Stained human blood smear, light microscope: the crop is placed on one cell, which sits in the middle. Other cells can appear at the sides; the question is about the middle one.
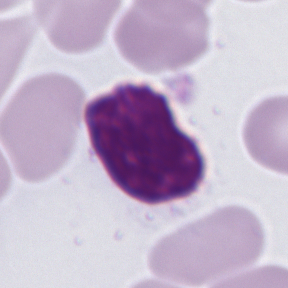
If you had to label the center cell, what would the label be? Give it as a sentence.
In the center of this field lies a smudge cell.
